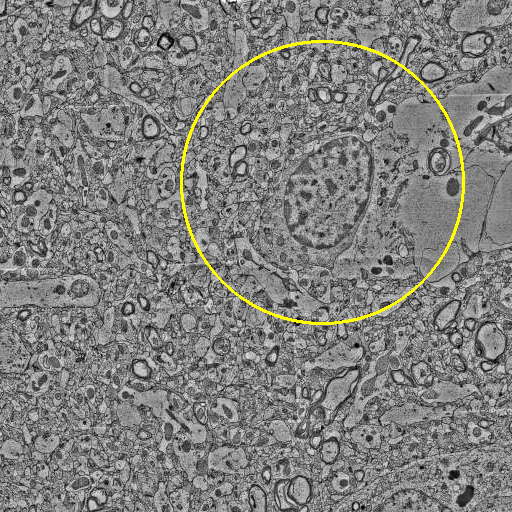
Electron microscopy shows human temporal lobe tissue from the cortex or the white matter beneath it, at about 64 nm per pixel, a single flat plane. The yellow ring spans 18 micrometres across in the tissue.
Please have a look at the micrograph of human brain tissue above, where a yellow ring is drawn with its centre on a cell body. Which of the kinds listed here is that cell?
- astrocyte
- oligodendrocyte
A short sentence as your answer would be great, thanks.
At the centre of the ring sits an oligodendrocyte.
